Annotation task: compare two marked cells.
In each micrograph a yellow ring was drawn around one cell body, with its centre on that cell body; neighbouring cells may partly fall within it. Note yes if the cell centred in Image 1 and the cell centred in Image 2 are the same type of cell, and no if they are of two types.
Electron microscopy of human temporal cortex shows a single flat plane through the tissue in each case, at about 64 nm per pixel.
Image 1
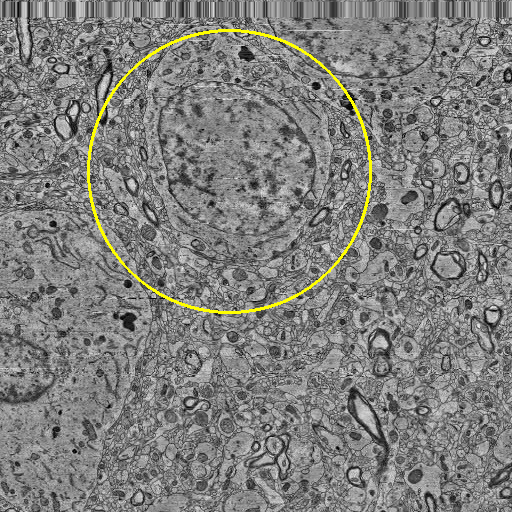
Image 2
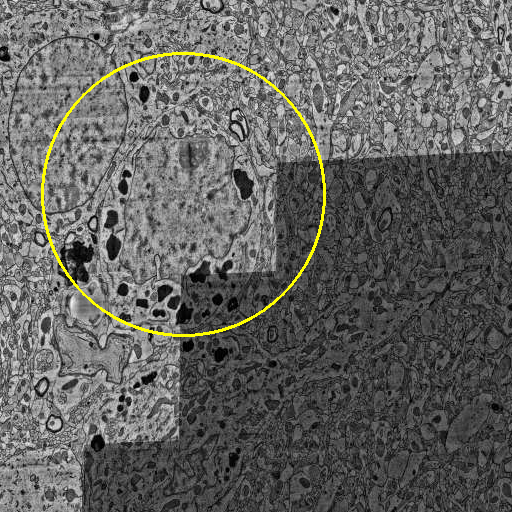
yes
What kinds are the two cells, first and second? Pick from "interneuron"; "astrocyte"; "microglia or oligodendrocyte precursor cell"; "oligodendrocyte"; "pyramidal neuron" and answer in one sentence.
Each of the two pictures has an interneuron at the ring centre.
